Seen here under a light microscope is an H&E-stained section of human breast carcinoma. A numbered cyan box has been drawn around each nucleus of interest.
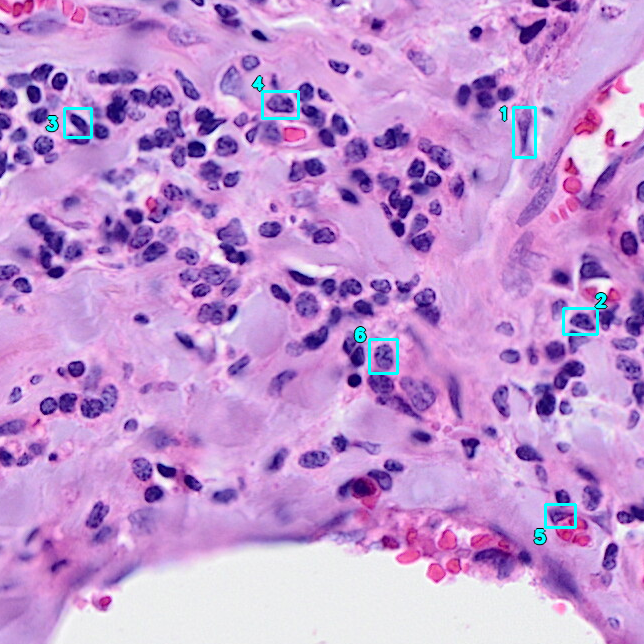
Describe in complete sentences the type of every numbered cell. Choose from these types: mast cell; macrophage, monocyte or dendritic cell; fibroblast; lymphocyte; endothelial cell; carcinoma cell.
Cell 1 is a fibroblast. Cells 2, 3 and 4 are lymphocytes. Cell 5 is an endothelial cell. Cell 6 is a mast cell.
